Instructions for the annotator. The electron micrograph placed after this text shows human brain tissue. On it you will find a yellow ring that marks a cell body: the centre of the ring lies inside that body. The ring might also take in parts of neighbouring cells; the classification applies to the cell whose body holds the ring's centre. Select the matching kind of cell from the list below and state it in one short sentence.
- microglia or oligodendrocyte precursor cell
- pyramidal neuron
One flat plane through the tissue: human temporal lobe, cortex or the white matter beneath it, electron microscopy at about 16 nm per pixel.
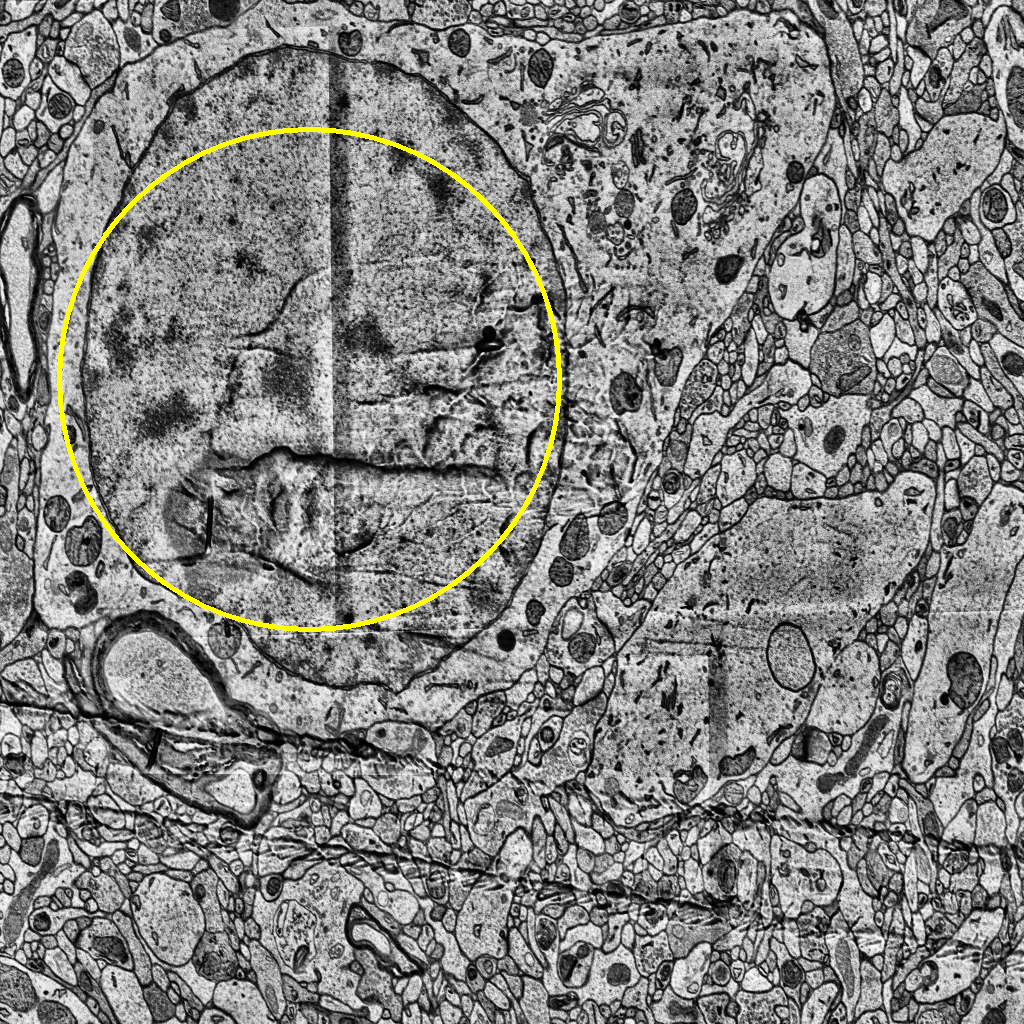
The centre of the ring lies in the cell body of a pyramidal neuron.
